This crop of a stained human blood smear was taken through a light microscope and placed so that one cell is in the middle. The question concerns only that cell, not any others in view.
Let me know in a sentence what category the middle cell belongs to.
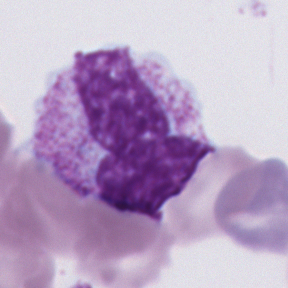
The cell of interest, in the center, is a band neutrophil.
